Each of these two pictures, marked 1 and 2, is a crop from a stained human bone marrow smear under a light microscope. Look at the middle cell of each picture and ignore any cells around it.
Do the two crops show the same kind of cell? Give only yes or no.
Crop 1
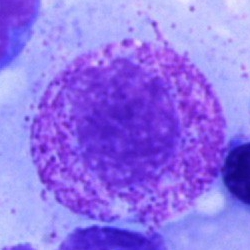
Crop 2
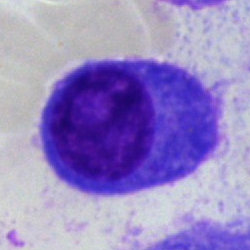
no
